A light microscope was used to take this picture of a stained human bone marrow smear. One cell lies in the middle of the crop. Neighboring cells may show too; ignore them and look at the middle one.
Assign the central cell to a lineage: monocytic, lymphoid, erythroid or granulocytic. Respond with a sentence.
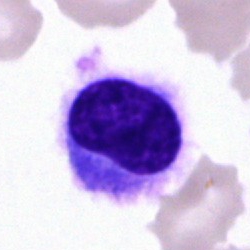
Regarding the central cell, its lineage is lymphoid.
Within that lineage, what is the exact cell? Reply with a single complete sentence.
Of the cells in this crop, the central one is a hairy cell.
